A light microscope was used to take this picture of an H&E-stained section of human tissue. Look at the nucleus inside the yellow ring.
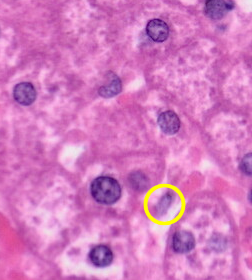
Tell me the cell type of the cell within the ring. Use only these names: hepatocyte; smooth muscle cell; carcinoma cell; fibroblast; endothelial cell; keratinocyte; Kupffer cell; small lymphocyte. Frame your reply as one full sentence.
In cell-type terms, the cell within the ring is a Kupffer cell.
